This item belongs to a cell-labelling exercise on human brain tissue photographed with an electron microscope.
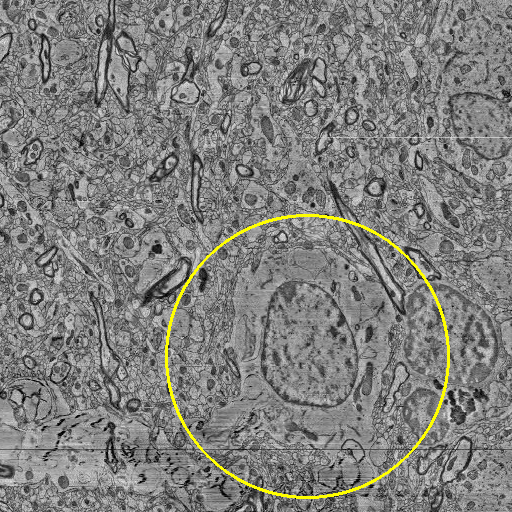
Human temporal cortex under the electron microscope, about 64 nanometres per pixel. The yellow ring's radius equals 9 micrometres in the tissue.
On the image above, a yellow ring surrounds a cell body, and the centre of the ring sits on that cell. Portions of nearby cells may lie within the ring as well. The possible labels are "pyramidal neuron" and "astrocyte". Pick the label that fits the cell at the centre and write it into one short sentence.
This cell should be labelled as an astrocyte.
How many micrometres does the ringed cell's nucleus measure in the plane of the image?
In this plane the nucleus measures roughly 9 by 6 micrometres.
